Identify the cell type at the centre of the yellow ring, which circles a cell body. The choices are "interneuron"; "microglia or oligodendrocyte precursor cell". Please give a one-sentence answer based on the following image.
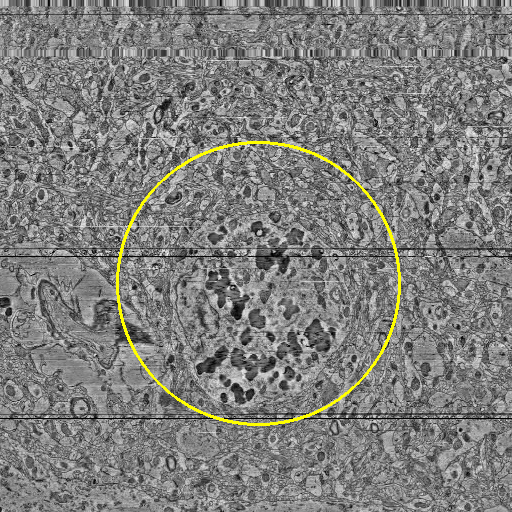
The cell marked by the ring is an interneuron.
